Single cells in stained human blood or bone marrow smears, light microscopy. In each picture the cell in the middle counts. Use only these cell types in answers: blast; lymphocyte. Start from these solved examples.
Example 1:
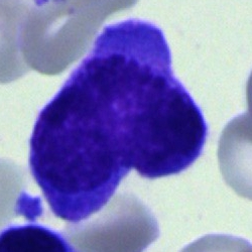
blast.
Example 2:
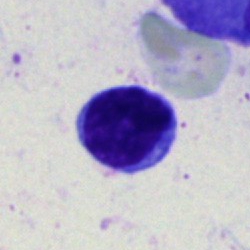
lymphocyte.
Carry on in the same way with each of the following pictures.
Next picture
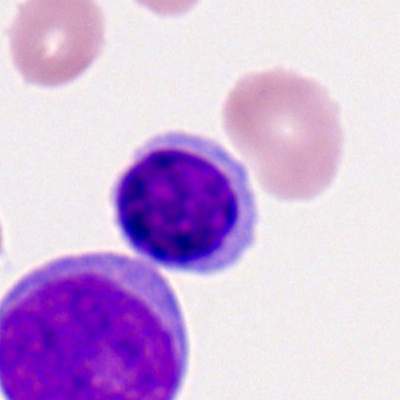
lymphocyte.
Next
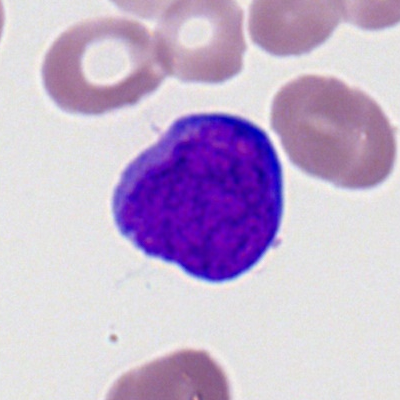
blast.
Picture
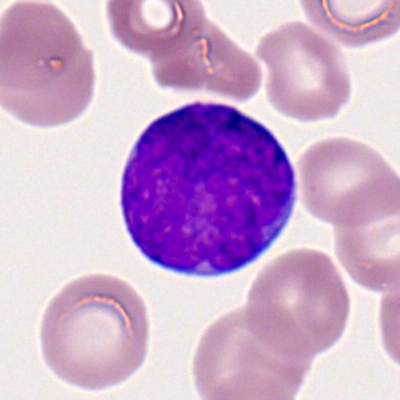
blast.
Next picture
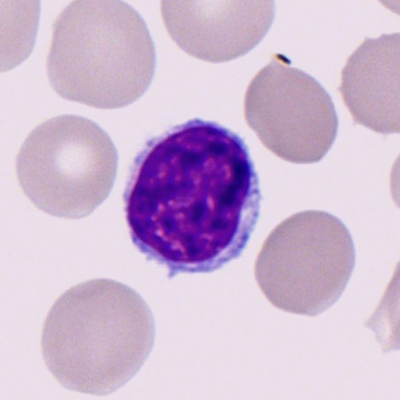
lymphocyte.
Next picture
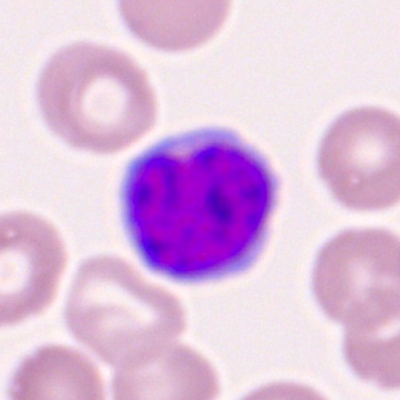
lymphocyte.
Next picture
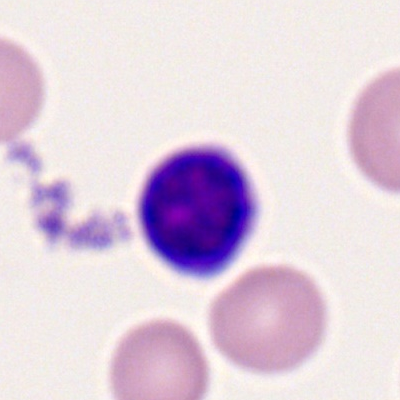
lymphocyte.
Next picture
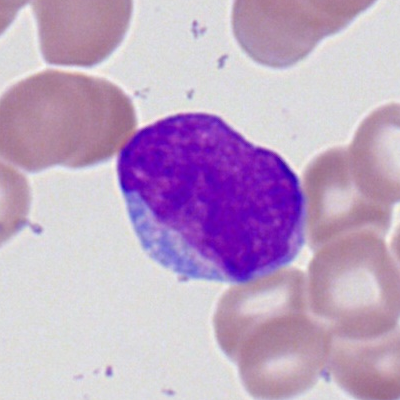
blast.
